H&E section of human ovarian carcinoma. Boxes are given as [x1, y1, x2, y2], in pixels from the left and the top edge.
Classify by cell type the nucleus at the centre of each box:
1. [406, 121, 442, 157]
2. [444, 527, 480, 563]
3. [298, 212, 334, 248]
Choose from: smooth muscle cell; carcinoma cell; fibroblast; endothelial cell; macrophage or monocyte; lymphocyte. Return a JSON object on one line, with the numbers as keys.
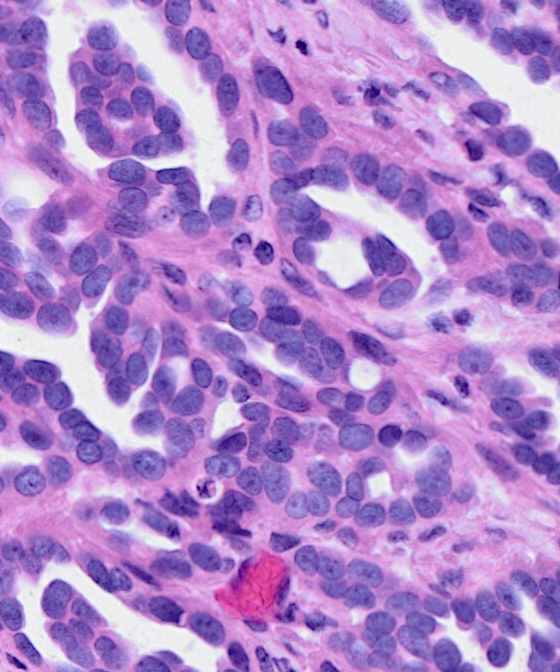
{"1": "fibroblast", "2": "fibroblast", "3": "carcinoma cell"}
